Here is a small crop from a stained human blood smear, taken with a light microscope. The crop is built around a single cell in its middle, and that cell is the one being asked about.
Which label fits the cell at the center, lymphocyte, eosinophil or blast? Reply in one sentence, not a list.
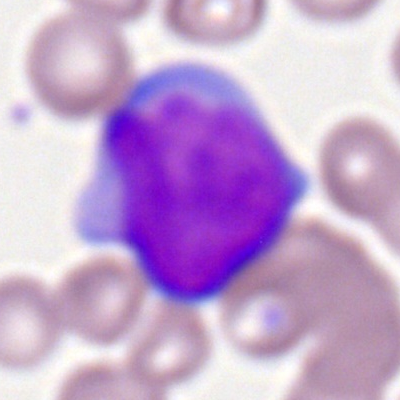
The central cell, amid any neighbouring cells, is a blast.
